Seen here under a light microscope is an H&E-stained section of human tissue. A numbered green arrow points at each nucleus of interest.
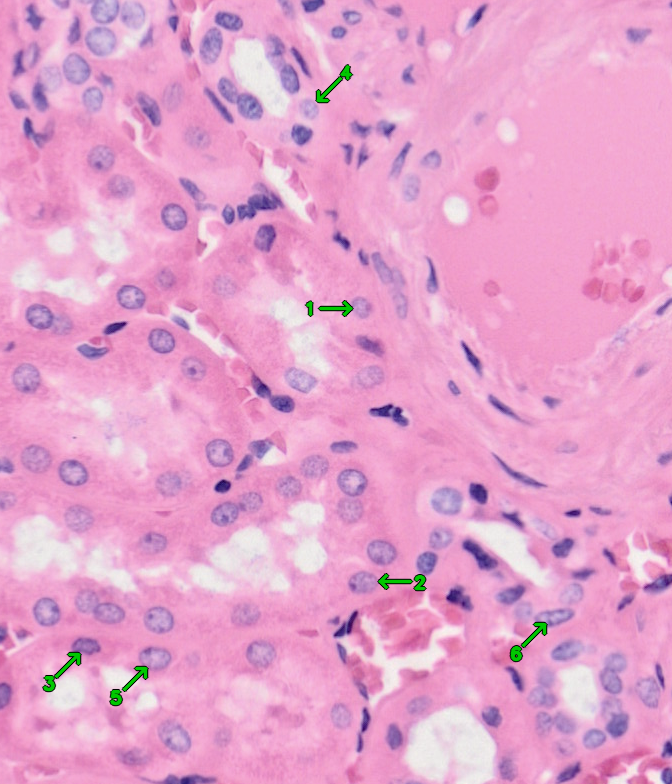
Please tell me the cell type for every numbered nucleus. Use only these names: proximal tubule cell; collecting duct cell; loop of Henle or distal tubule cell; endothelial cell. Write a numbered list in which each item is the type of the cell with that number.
1. proximal tubule cell
2. proximal tubule cell
3. proximal tubule cell
4. collecting duct cell
5. proximal tubule cell
6. collecting duct cell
